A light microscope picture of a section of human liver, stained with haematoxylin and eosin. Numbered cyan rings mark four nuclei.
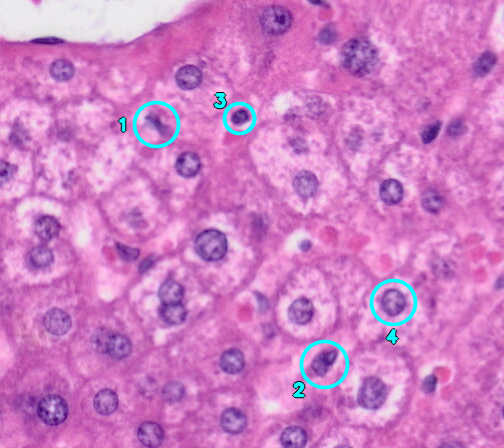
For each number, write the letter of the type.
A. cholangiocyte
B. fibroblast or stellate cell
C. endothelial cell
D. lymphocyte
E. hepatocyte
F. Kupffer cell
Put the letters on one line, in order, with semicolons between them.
C; F; D; E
